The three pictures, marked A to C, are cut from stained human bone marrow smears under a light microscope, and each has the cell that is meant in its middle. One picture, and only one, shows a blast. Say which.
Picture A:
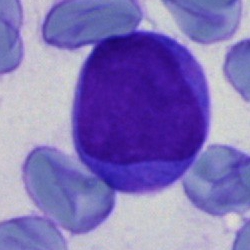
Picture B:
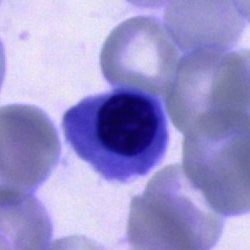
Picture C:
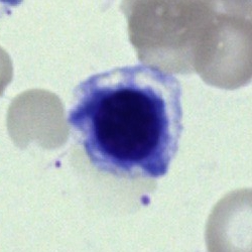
A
